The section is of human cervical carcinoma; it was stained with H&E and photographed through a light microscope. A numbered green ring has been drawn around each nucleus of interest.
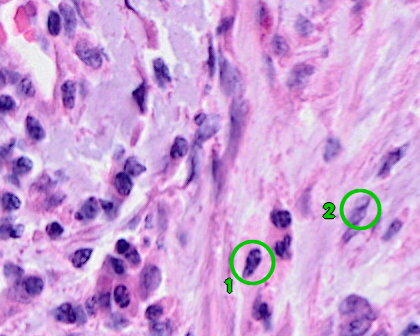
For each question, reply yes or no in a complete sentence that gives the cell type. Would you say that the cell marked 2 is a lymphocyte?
No, number 2 does not mark a lymphocyte; it marks a fibroblast.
